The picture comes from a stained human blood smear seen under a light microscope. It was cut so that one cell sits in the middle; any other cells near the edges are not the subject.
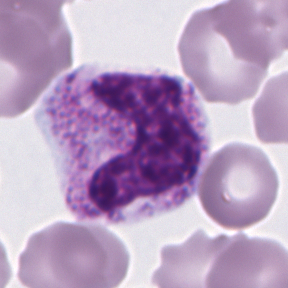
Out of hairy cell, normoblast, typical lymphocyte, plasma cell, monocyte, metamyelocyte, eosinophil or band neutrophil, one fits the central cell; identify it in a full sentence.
The cell under consideration, at the middle of the crop, is a metamyelocyte.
